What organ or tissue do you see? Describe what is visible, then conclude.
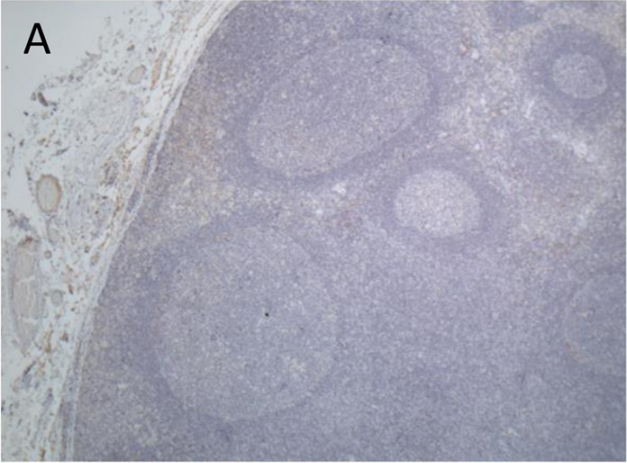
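Lymph node. A thin fibrous capsule borders densely cellular blue tissue. Round paler follicles with darker rims lie beneath the capsule. No brown-stained cell clusters are present.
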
